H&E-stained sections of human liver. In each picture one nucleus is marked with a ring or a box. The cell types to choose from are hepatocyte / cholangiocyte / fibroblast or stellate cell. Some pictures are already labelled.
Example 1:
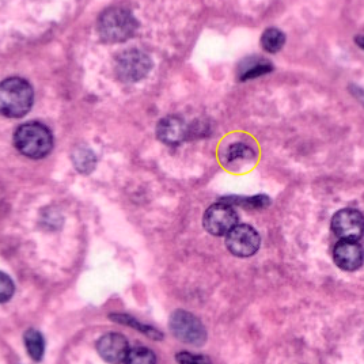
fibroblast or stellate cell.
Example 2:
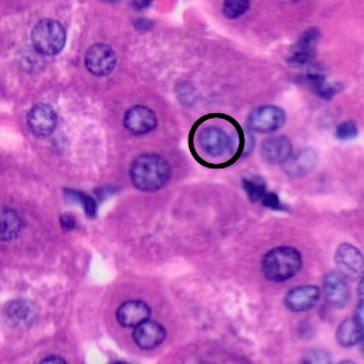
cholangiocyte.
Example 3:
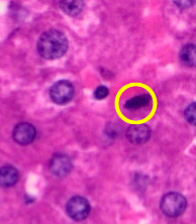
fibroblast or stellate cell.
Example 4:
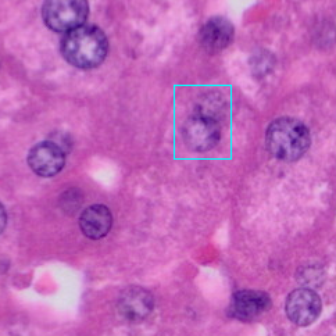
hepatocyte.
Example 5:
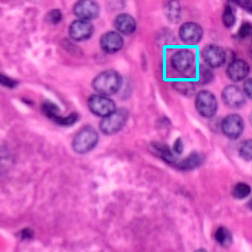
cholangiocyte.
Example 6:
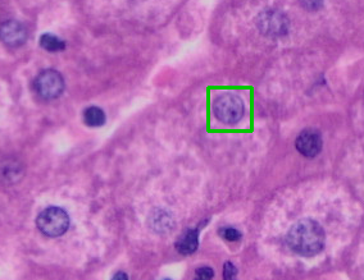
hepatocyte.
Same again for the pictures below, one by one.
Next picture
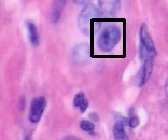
cholangiocyte.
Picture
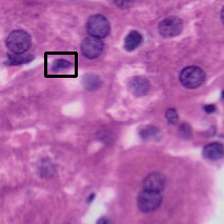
fibroblast or stellate cell.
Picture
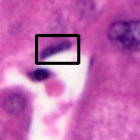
fibroblast or stellate cell.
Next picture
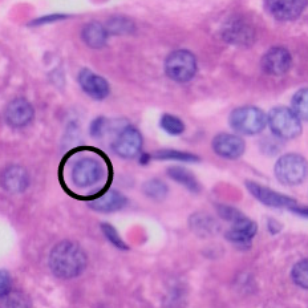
cholangiocyte.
